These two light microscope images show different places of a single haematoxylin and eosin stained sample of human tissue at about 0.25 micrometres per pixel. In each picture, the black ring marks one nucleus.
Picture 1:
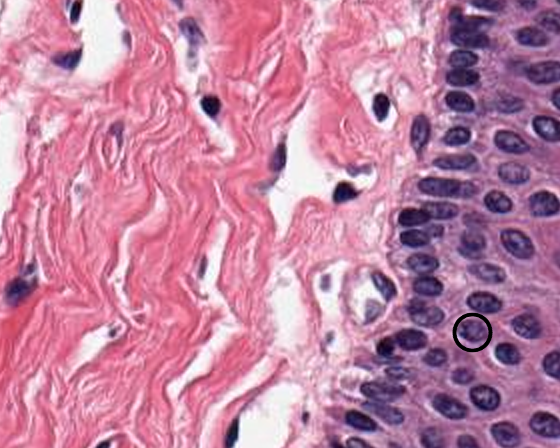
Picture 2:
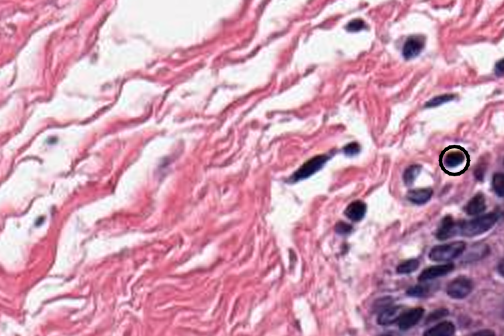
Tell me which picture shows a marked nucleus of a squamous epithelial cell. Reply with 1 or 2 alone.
1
